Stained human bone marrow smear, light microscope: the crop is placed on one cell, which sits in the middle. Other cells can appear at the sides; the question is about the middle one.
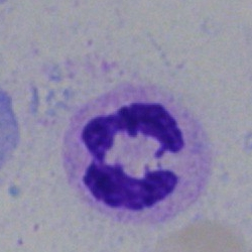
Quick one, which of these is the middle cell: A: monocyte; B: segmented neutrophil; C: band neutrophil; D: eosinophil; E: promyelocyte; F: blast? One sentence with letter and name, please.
The cell shown centrally is a segmented neutrophil; option B is the correct option.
